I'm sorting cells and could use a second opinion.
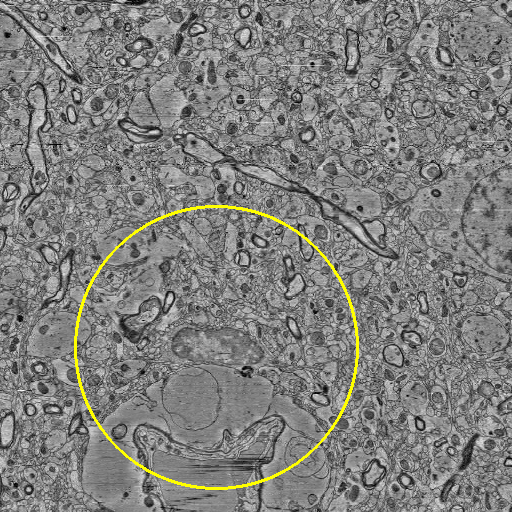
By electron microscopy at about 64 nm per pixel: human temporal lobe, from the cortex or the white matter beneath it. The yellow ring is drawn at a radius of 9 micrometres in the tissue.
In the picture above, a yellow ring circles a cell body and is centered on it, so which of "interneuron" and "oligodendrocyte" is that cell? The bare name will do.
oligodendrocyte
